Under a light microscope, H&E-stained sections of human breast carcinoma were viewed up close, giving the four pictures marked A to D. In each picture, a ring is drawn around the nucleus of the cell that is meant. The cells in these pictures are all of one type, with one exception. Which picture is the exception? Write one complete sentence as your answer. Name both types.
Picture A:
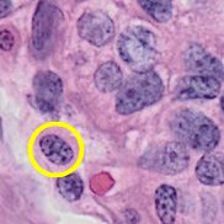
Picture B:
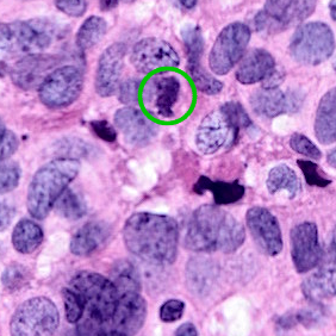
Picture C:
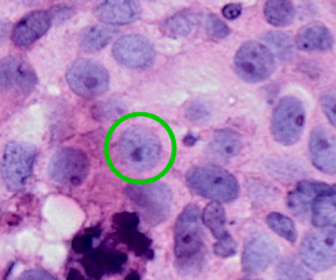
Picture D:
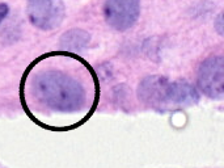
The different one is picture A; it shows a mast cell, whereas all the others show carcinoma cells.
